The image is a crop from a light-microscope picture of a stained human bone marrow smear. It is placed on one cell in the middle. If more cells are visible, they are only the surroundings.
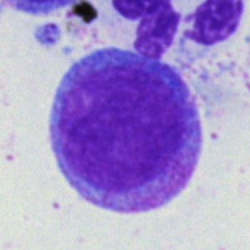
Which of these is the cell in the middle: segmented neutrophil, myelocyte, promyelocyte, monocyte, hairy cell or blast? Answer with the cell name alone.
promyelocyte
